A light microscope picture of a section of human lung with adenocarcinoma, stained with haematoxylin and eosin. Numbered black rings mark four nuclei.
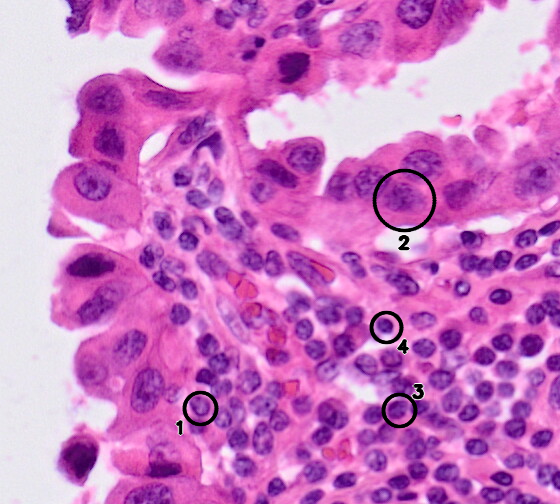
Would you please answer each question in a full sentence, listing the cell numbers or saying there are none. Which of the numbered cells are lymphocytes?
The cells marked 1, 3 and 4 in the section are lymphocytes.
